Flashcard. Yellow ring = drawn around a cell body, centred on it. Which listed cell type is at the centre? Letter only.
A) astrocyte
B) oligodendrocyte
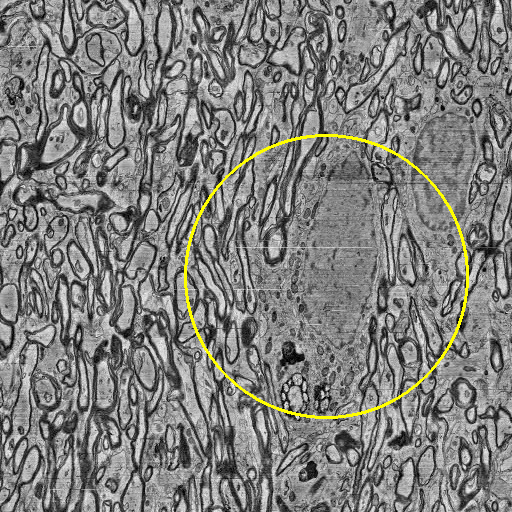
A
